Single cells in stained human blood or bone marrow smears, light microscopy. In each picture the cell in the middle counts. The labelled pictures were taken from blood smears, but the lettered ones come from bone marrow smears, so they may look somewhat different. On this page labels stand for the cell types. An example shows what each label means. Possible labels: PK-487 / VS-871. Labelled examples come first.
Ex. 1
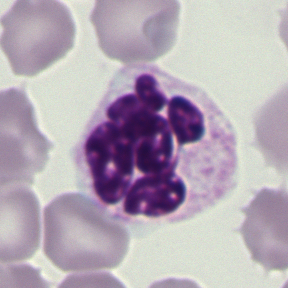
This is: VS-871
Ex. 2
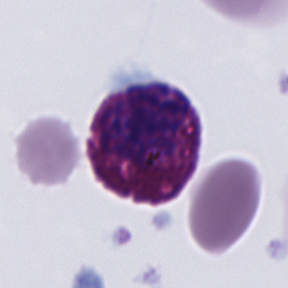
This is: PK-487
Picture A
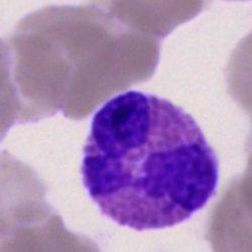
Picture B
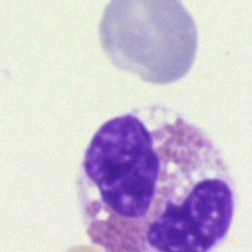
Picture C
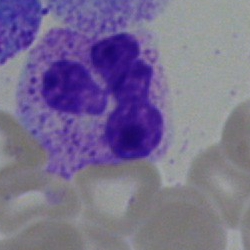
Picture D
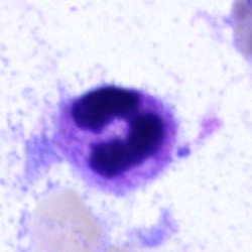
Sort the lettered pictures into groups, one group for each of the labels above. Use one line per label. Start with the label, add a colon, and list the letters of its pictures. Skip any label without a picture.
PK-487: A, B
VS-871: C, D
